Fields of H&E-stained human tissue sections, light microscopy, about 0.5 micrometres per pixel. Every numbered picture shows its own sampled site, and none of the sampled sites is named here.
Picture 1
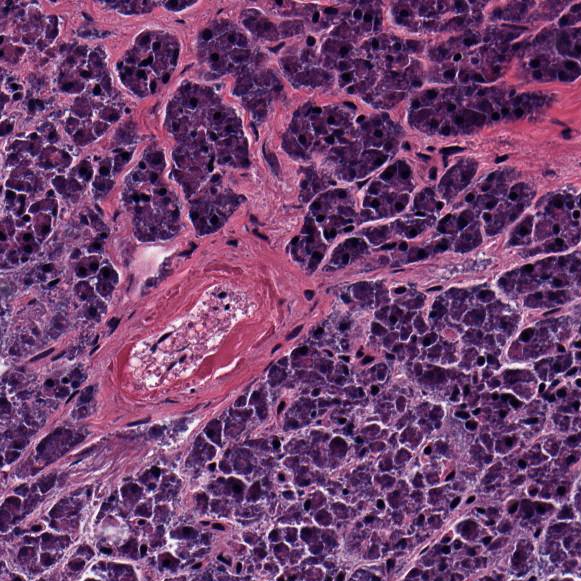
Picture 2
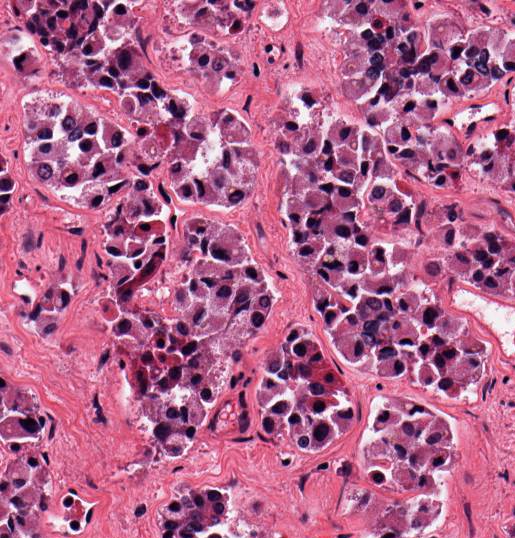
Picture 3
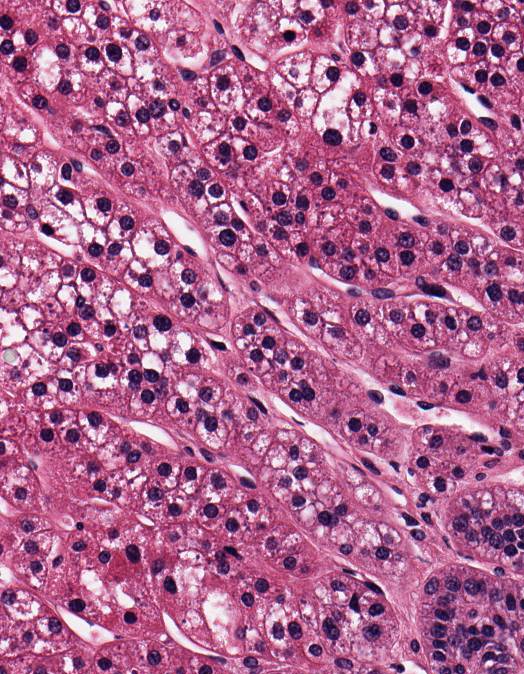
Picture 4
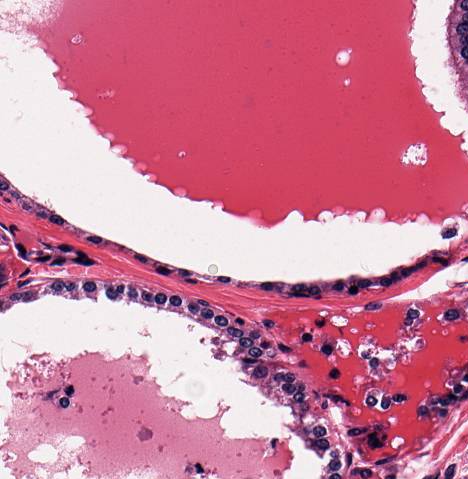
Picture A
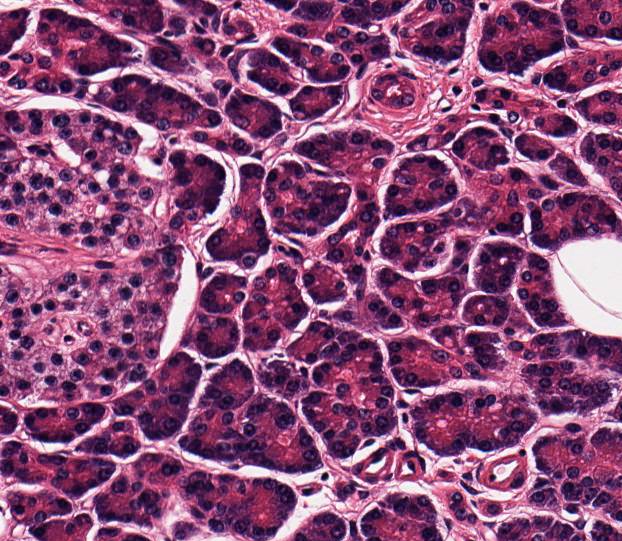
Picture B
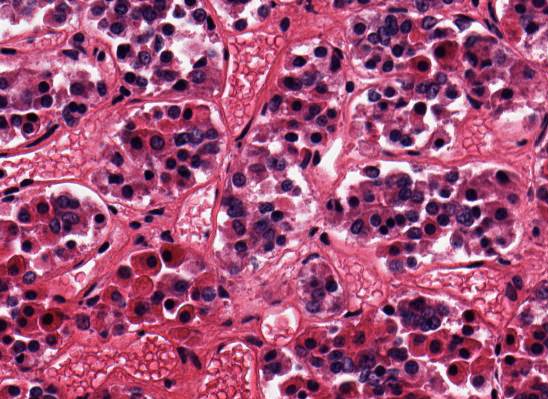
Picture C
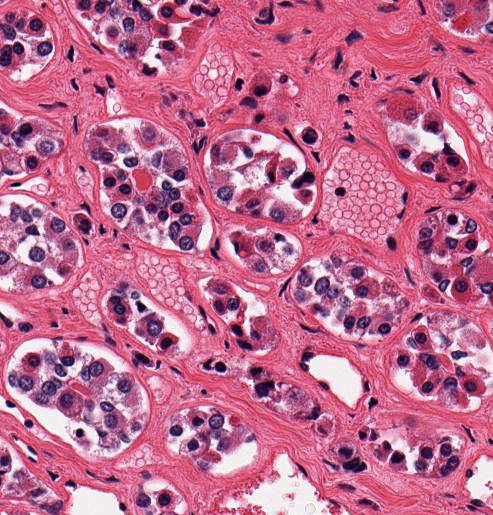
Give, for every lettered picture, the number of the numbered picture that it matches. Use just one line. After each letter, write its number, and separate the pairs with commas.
A 1, B 2, C 2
